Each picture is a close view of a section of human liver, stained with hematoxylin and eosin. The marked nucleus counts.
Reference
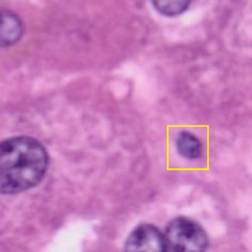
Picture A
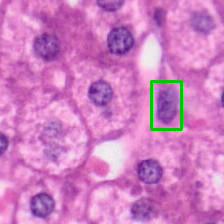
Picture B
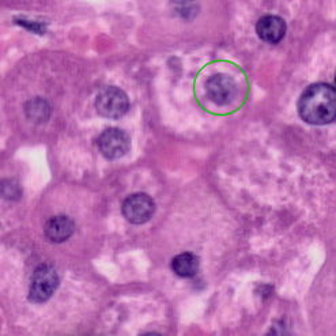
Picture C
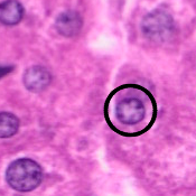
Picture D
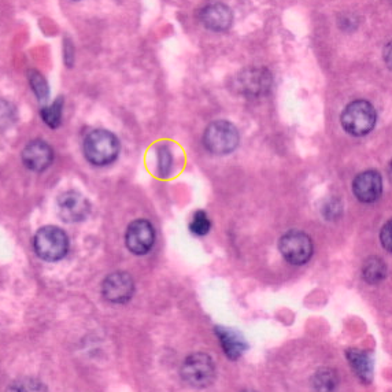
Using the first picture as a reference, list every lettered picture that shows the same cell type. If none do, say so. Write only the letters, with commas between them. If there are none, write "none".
none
